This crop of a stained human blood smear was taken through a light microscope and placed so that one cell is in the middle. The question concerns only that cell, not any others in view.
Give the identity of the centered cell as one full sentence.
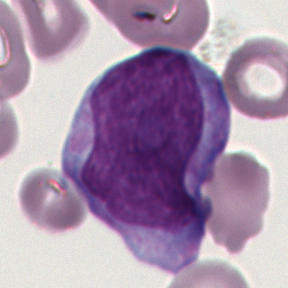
Looking at the middle of the crop, the cell there is an atypical promyelocyte.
